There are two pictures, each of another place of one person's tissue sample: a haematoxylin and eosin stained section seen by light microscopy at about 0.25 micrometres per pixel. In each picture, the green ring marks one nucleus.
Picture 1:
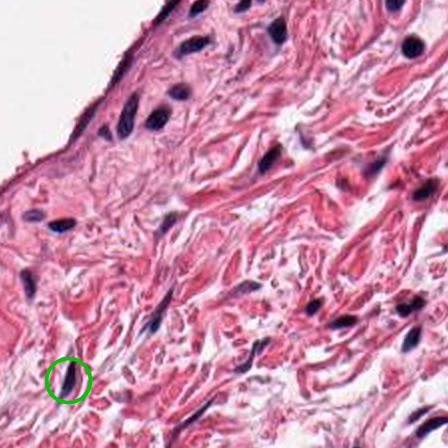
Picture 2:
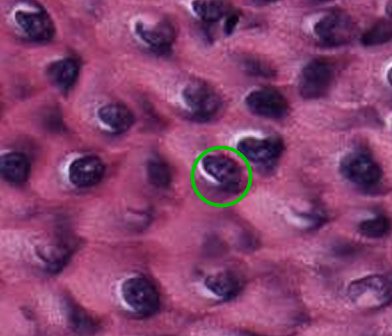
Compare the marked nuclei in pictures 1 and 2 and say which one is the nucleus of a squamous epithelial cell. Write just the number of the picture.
2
